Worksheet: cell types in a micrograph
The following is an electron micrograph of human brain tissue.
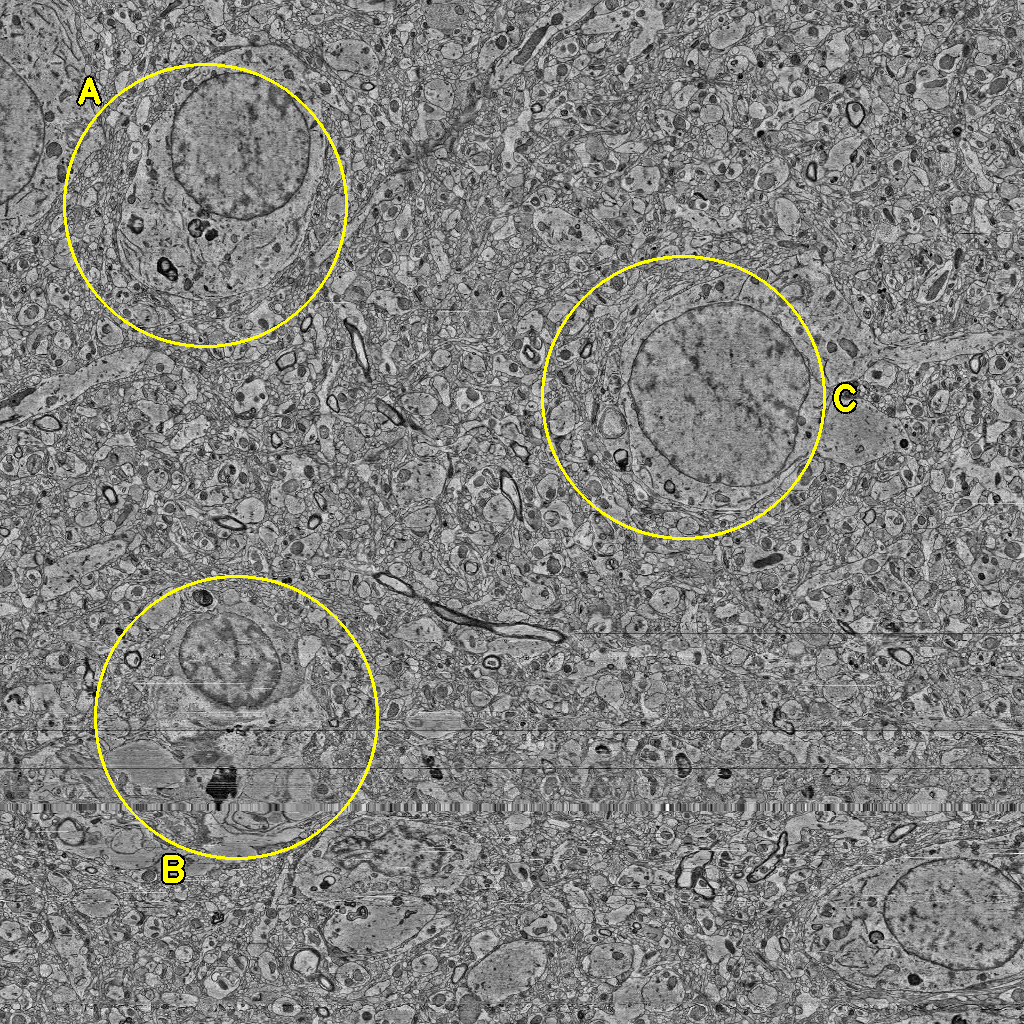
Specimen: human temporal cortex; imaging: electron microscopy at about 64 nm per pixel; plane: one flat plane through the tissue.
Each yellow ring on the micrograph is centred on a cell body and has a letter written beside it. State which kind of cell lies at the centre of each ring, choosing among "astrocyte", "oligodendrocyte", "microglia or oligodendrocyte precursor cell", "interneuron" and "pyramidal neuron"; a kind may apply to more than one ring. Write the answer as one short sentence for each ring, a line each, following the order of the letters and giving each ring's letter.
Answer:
Ring A has a pyramidal neuron in its centre.
Ring B has an oligodendrocyte in its centre.
Ring C has a pyramidal neuron in its centre.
